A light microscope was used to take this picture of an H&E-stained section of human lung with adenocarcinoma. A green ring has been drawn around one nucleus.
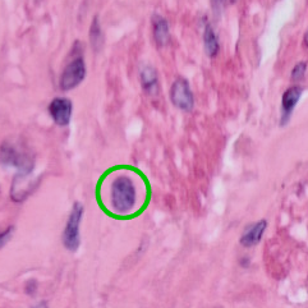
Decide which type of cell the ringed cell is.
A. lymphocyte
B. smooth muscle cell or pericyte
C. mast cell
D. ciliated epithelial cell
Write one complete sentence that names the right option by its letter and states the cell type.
Hey, it is option C: the ringed cell is a mast cell.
